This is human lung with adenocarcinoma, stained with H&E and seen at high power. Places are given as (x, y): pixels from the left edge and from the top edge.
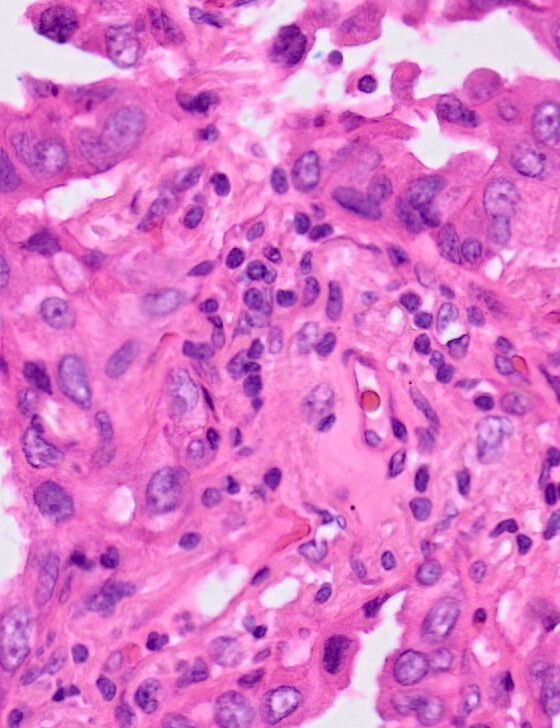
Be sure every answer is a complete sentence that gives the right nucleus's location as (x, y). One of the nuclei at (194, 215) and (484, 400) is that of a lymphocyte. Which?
Among the two nuclei, the one lying at (484, 400) is part of a lymphocyte.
